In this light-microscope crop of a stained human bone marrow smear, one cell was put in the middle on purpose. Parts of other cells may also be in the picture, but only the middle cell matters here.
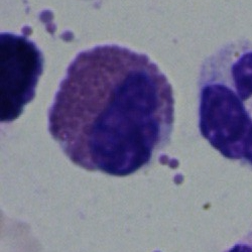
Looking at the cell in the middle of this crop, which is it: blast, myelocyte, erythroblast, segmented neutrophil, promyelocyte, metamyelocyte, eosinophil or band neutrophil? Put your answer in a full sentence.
On this slide crop, the central cell is an eosinophil.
